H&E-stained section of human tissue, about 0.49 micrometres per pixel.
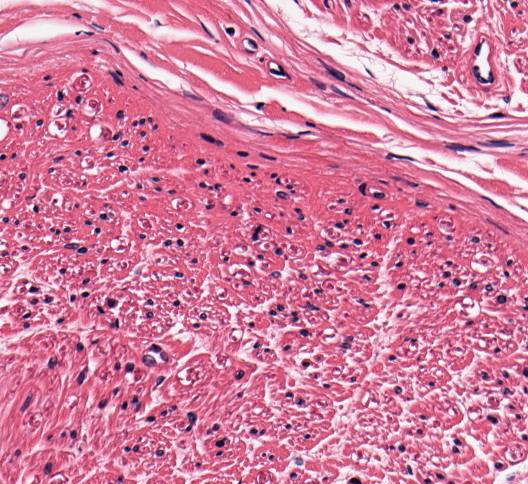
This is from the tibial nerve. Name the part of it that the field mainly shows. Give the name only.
nerve fascicle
